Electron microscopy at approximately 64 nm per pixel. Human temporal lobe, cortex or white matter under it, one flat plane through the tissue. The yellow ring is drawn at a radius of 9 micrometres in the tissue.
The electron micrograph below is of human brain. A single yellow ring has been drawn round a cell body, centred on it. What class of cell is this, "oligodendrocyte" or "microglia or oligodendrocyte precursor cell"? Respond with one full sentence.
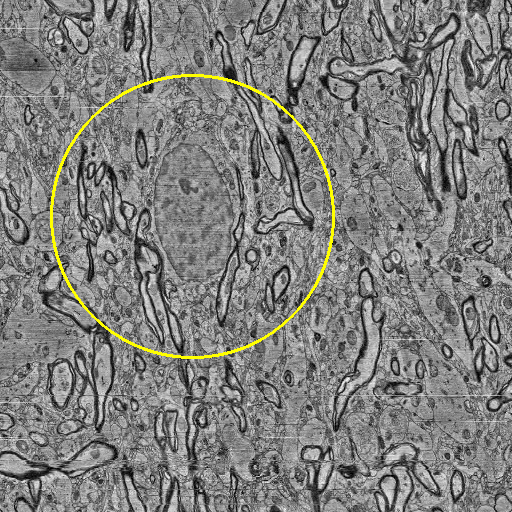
In the micrograph, the cell centred inside the yellow ring is an oligodendrocyte.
